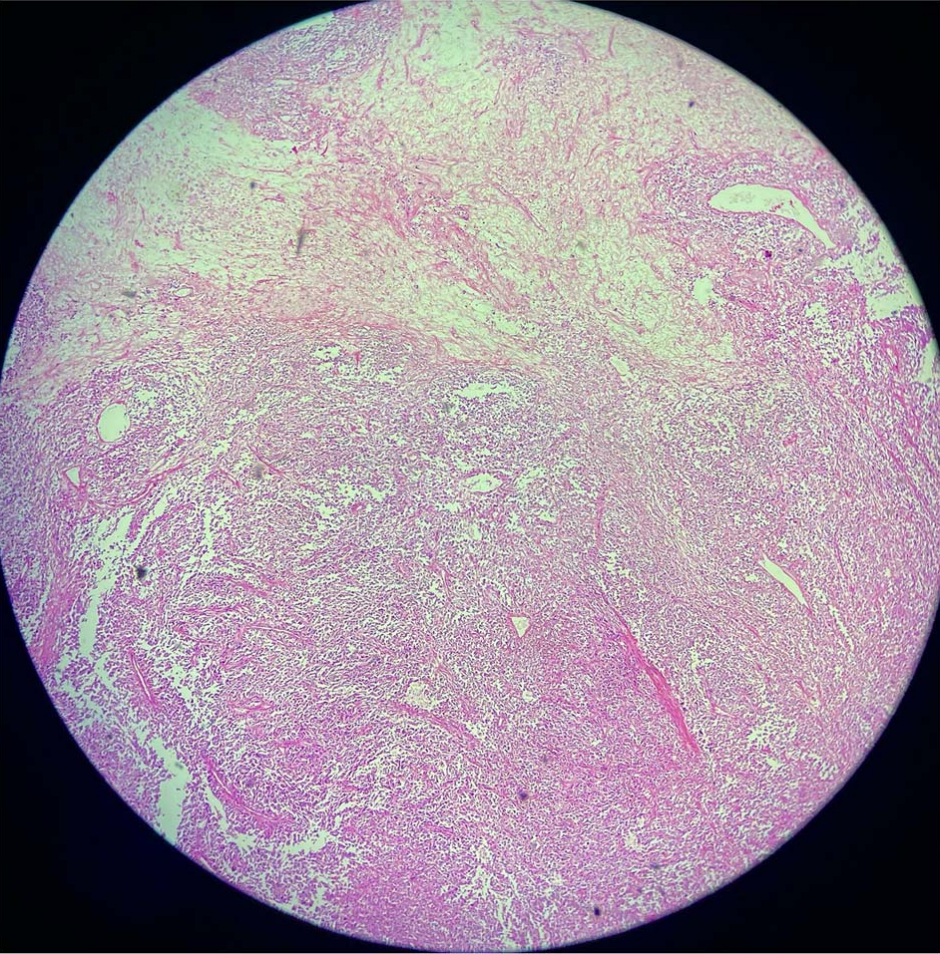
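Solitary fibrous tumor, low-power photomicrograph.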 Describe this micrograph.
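The dense areas consist of closely packed small cells with purple nuclei in a pink background, without an organised layered arrangement. Across the upper part, a pale, loose, fibrillary pink zone contains few nuclei. Scattered thin-walled vascular spaces, some elongated and angulated, lie within the cellular tissue.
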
